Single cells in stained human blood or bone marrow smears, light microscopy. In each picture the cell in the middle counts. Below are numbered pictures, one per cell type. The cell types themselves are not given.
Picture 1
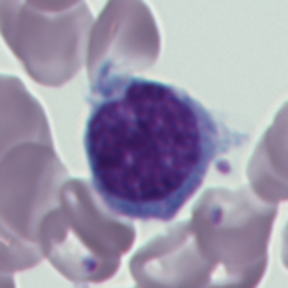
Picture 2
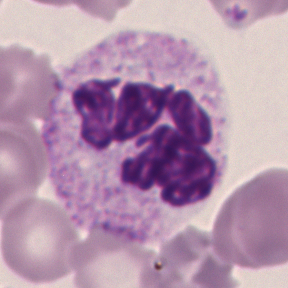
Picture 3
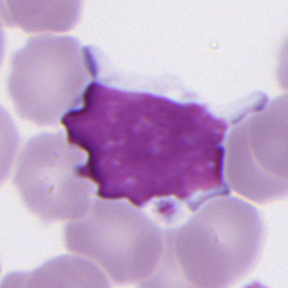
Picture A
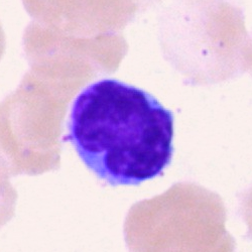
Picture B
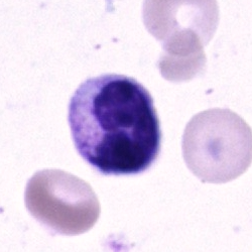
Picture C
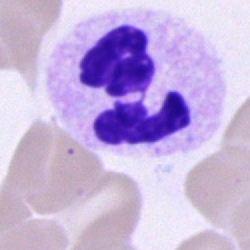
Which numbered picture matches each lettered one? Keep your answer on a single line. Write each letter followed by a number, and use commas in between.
A 3, B 2, C 2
